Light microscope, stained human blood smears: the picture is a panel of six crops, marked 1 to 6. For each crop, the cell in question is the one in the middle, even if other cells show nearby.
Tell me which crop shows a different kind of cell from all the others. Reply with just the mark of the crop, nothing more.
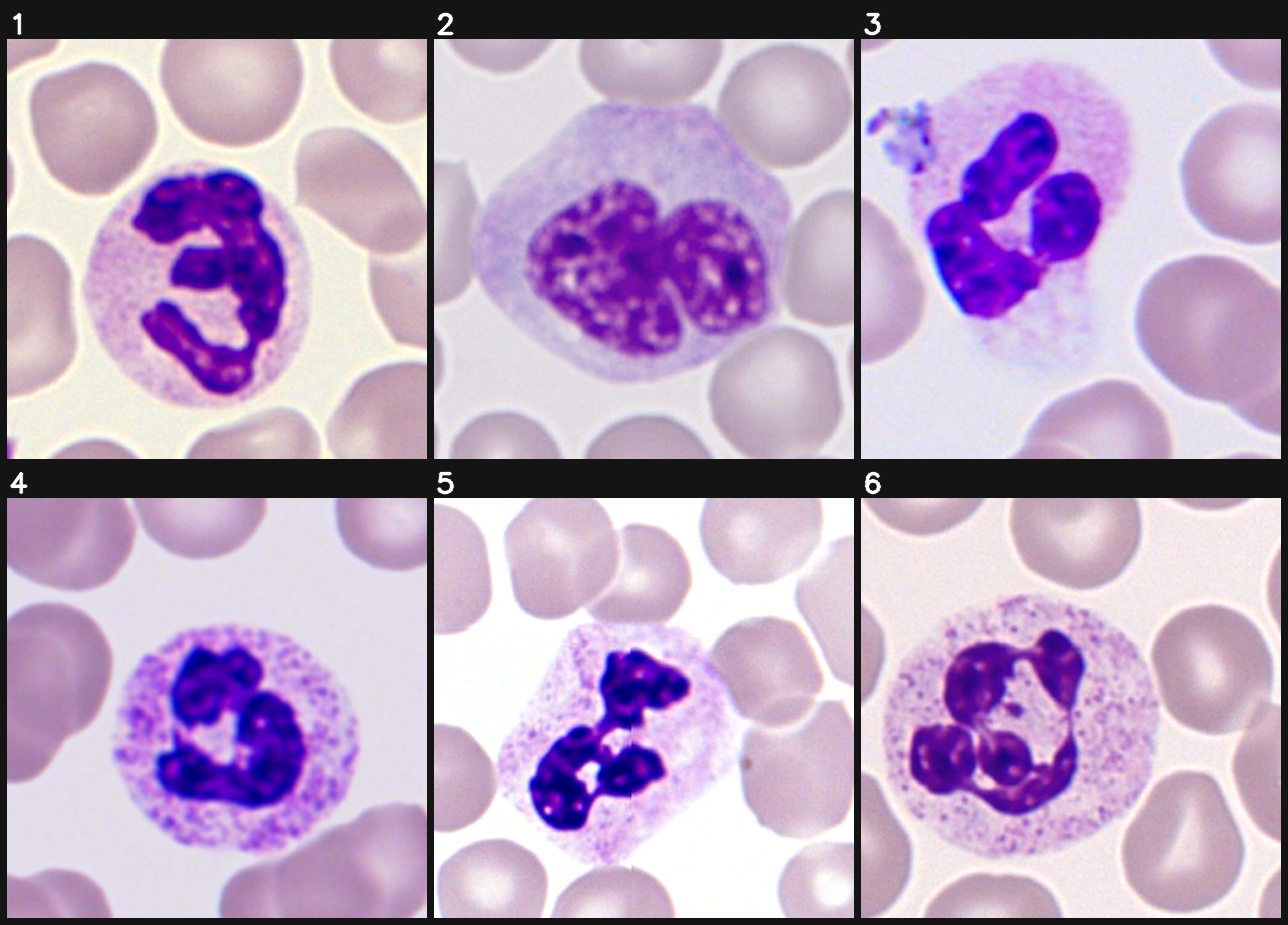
2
